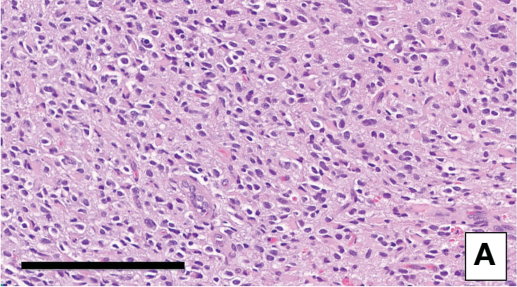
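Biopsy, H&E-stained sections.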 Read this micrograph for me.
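A densely cellular diffuse glioma is composed of closely packed tumor cells set in a pink fibrillary background. The cells are spread diffusely without forming glands or sharp borders, with some streaming in places.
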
